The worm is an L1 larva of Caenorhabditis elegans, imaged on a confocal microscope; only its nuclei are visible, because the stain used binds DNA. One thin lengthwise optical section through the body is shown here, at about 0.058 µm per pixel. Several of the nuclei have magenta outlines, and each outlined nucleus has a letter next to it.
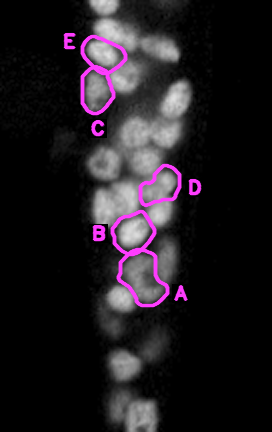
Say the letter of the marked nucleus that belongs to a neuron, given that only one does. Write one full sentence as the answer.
Nucleus E belongs to a neuron.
